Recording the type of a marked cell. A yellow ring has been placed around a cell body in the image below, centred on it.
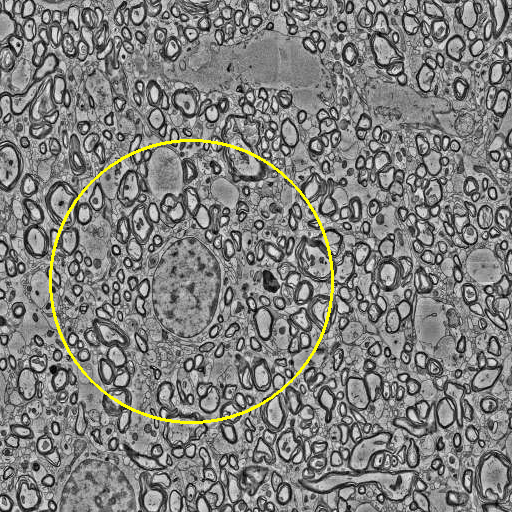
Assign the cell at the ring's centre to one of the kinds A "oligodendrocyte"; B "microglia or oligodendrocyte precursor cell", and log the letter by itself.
B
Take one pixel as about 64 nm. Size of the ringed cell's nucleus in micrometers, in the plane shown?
In this plane, the nucleus of the cell at the centre of the ring measures about 6 by 4 micrometres.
